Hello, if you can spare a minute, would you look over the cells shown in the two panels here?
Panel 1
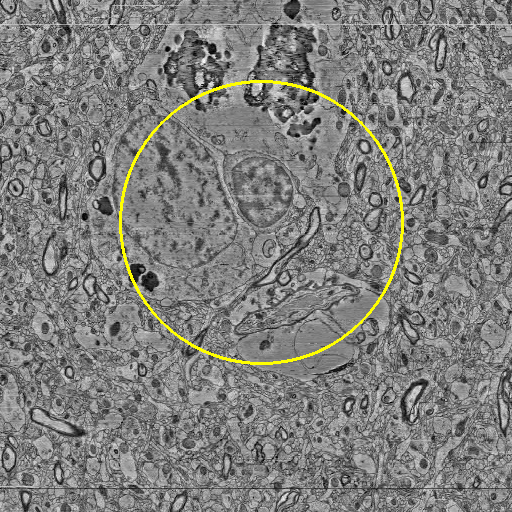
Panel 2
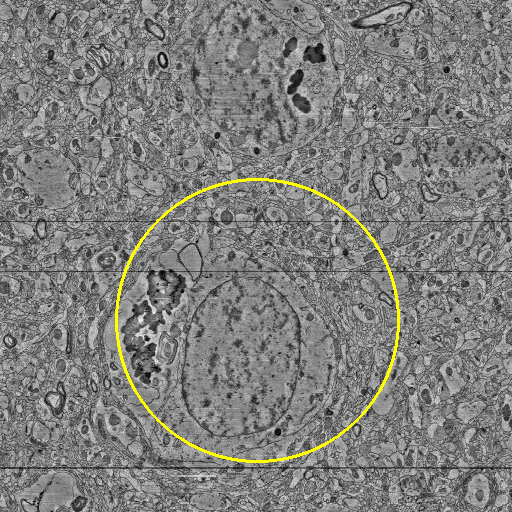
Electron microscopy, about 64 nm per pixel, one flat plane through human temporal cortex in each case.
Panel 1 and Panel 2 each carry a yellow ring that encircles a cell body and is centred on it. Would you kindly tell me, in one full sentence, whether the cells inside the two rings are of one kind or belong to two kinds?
The cells at the centres of the rings in Panel 1 and Panel 2 belong to two kinds.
